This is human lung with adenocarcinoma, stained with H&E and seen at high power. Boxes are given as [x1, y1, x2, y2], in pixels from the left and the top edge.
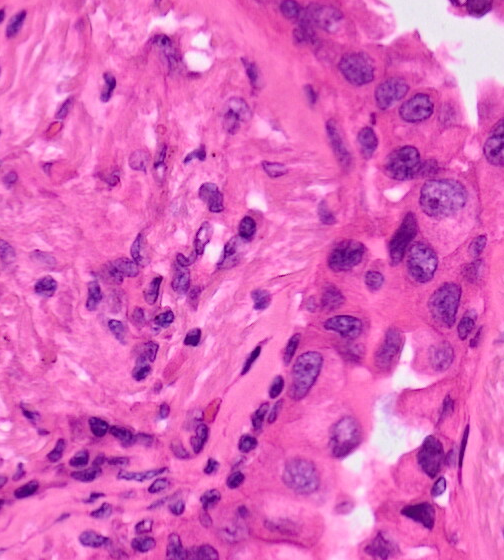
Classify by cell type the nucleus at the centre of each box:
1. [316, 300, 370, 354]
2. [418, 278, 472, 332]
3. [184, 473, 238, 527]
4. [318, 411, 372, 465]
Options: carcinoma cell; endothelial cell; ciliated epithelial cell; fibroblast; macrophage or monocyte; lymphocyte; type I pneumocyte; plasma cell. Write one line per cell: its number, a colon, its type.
1: carcinoma cell
2: carcinoma cell
3: lymphocyte
4: carcinoma cell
